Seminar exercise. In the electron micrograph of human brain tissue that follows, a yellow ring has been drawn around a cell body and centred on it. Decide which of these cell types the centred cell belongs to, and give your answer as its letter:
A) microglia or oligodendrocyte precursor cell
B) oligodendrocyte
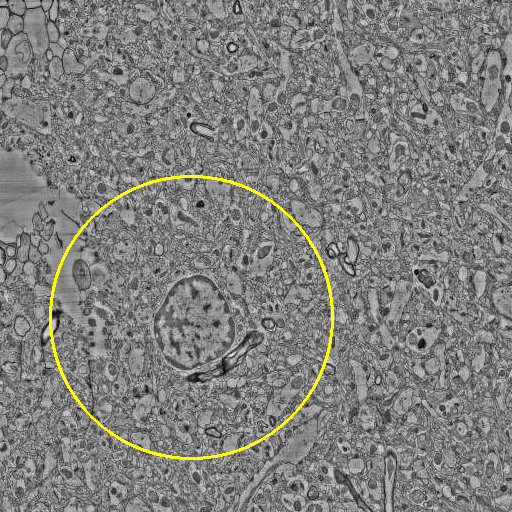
A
